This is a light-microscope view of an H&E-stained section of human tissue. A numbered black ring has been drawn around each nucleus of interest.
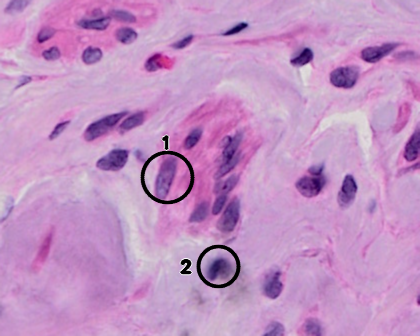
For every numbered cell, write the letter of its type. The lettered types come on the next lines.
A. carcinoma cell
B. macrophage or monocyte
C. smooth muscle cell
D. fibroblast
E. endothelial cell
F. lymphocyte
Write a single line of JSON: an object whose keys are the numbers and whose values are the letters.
{"1": "C", "2": "D"}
